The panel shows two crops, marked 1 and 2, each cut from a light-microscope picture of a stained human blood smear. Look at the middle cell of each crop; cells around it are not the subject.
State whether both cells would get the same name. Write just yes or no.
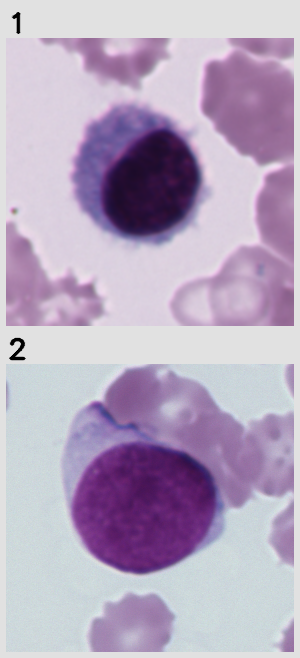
no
